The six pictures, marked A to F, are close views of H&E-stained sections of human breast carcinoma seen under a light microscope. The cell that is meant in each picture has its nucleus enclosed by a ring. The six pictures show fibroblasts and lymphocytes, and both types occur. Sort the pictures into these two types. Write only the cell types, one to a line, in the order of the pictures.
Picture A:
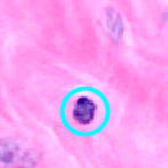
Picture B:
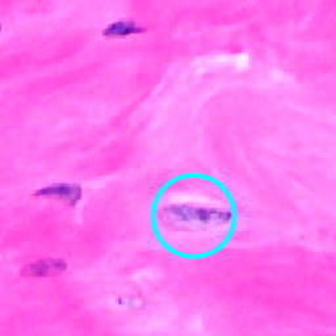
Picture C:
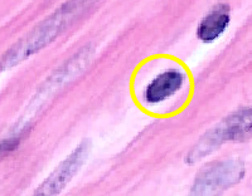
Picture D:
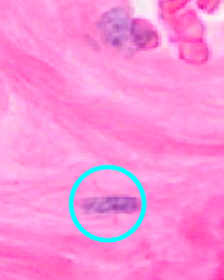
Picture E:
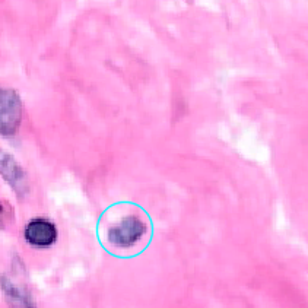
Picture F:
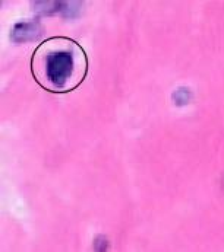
lymphocyte
fibroblast
lymphocyte
fibroblast
lymphocyte
lymphocyte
